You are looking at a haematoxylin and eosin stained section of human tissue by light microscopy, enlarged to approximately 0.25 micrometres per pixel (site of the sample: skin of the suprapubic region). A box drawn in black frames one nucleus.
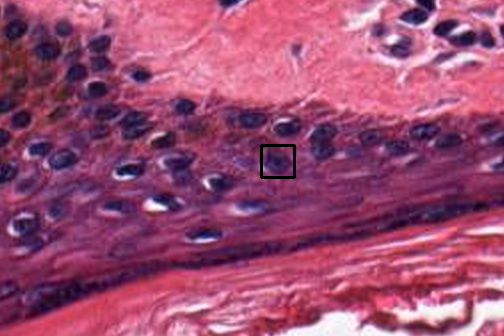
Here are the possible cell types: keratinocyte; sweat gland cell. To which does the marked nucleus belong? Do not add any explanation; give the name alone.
keratinocyte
